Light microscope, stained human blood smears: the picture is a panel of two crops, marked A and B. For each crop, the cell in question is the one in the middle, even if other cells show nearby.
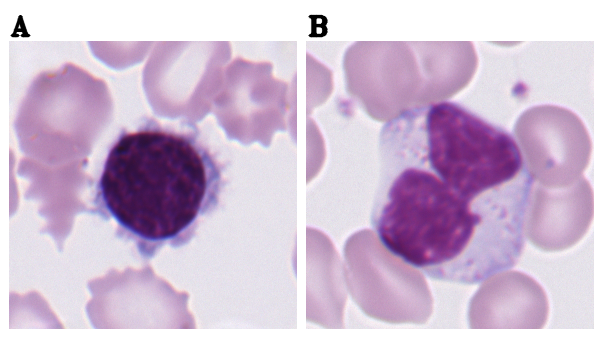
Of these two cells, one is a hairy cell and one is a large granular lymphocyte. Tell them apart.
A: hairy cell
B: large granular lymphocyte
